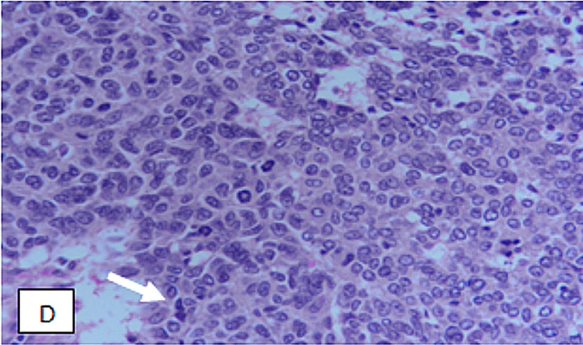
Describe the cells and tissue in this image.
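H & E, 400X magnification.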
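This shows a solid sheet of tumour cells packed closely together with little stroma between them. The nuclei are enlarged, round to oval and vary in size and shape, with vesicular chromatin and small nucleoli. The cells have pale to pink cytoplasm with indistinct borders. A cell with a dark, condensed nucleus stands out near the lower left edge of the sheet.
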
